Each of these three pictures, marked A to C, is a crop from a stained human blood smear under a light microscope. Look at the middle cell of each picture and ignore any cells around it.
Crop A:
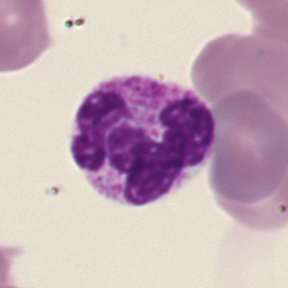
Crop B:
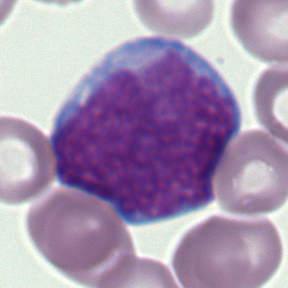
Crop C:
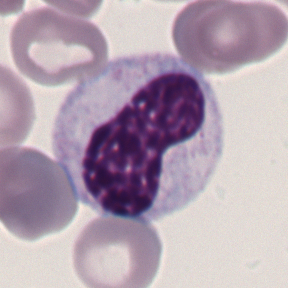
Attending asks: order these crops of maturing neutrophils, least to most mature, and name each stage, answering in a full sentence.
The maturation sequence, earliest to latest, reads crop B (a myeloblast), crop C (a band neutrophil) and crop A (a segmented neutrophil).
